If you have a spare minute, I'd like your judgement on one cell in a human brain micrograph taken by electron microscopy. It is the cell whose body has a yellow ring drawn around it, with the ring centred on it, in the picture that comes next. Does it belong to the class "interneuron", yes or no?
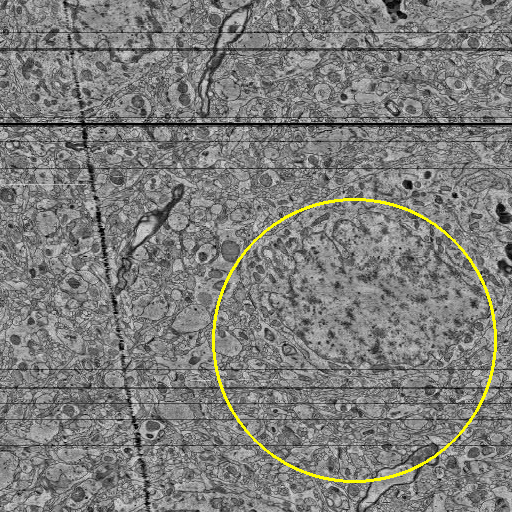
Yes, it belongs to that class.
